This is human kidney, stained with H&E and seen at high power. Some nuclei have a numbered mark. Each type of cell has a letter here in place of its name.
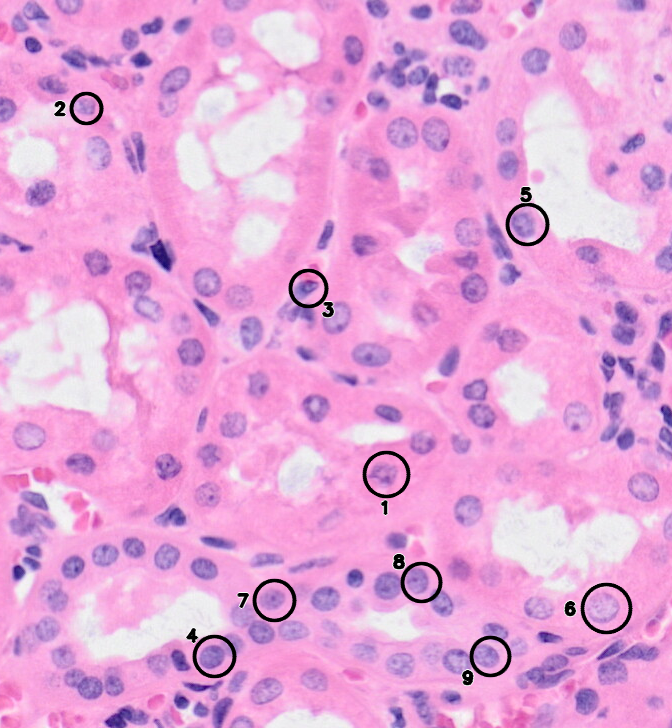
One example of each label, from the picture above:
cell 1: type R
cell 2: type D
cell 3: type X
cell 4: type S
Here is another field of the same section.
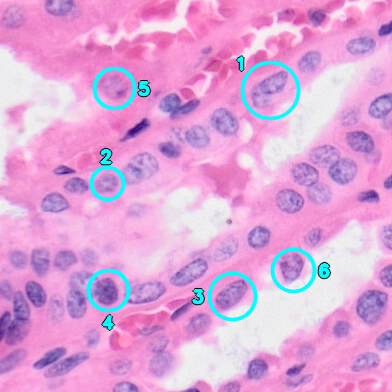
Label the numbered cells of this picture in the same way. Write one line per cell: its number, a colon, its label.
1: type S
2: type S
3: type D
4: type S
5: type R
6: type D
